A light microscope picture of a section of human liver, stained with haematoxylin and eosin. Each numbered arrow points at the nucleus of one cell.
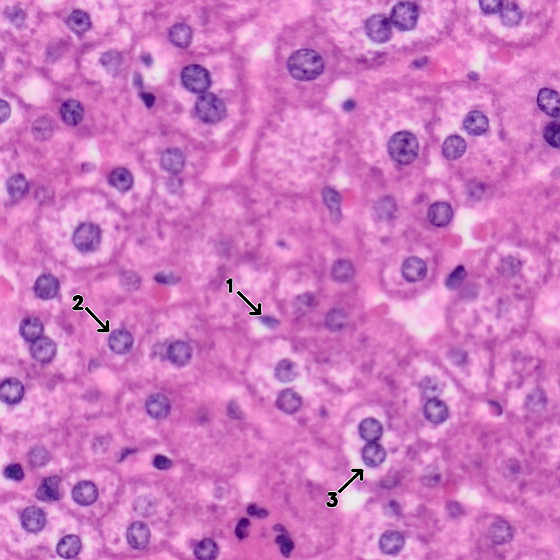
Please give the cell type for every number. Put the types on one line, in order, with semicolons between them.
endothelial cell; hepatocyte; hepatocyte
